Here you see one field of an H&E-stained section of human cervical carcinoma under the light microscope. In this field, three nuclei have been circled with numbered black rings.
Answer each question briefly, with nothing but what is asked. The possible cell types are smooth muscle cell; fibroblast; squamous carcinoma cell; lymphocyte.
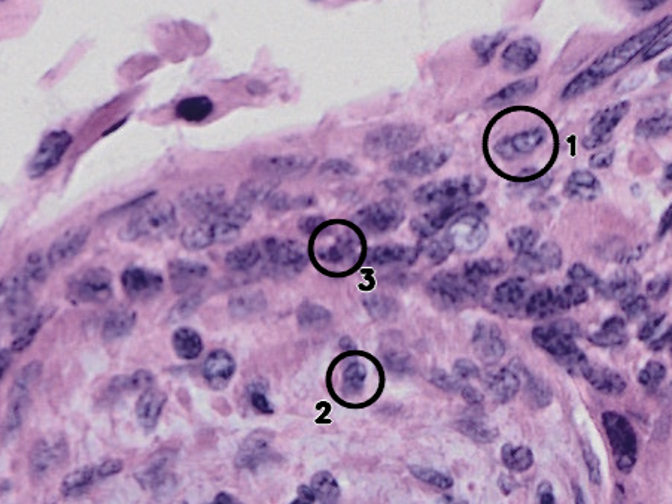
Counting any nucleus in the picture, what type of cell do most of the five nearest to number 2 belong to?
fibroblast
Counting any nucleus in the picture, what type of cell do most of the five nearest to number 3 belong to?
squamous carcinoma cell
